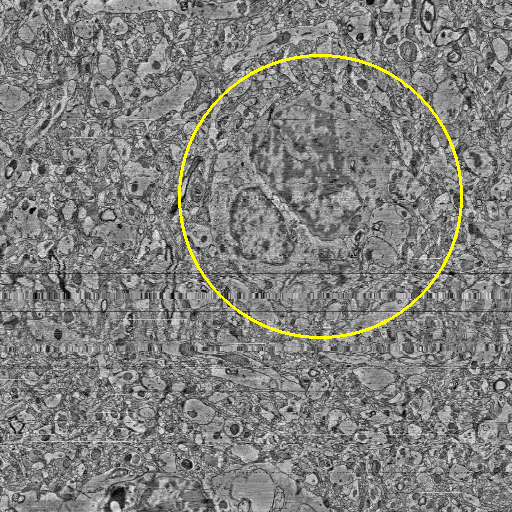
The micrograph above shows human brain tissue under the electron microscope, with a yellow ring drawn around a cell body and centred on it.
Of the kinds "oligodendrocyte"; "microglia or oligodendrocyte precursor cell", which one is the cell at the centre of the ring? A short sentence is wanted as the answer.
The one at the centre of the ring is an oligodendrocyte.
